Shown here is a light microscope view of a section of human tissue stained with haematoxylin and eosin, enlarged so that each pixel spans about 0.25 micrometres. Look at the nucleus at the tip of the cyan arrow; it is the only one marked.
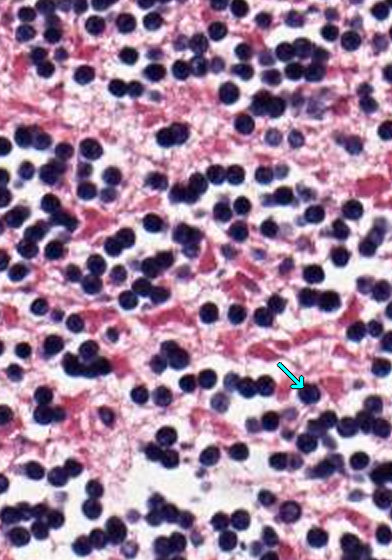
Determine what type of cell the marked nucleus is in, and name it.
cerebellar granule cell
